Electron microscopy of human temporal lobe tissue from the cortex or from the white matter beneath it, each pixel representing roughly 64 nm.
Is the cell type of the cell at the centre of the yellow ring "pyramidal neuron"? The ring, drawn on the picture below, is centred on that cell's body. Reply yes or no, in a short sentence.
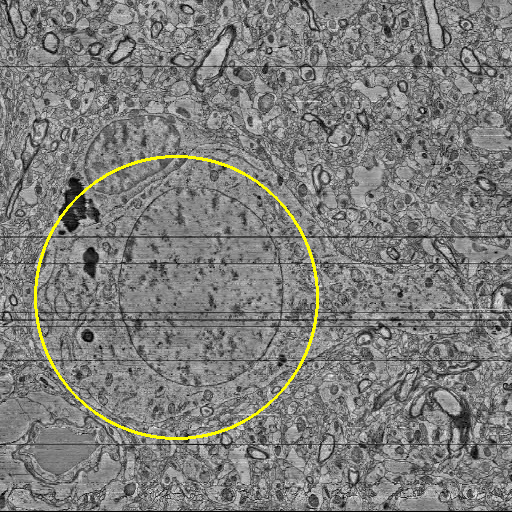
Yes, that is its cell type.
